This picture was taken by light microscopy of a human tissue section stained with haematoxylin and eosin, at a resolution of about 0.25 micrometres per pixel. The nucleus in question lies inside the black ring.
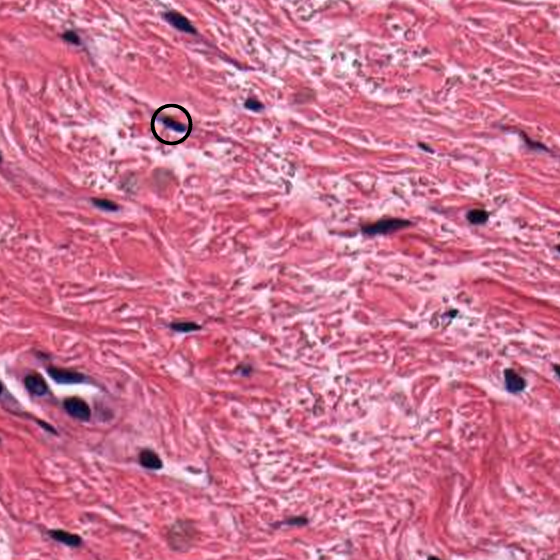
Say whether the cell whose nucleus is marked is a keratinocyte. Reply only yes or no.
no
